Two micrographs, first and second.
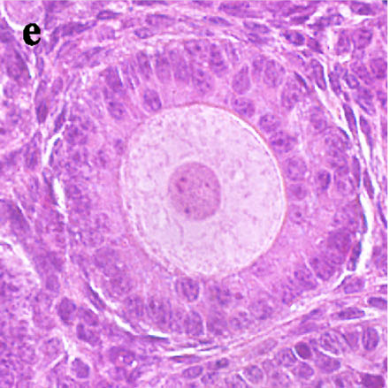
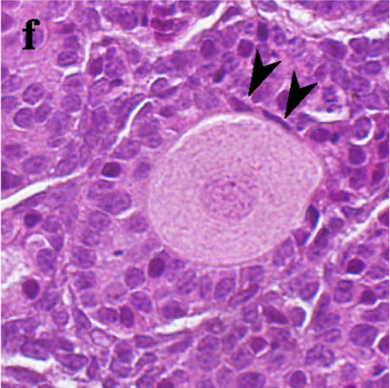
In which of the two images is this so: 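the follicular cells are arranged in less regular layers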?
The second image.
